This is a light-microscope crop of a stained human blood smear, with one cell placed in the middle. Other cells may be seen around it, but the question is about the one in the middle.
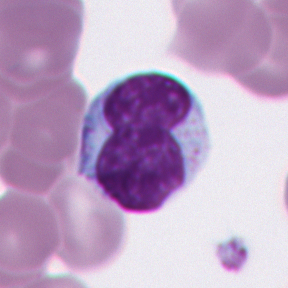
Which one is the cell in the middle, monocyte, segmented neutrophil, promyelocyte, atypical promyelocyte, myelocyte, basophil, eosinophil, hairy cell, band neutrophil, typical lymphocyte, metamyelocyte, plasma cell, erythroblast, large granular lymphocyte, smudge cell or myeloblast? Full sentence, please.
The cell found in the middle of this crop is a typical lymphocyte.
